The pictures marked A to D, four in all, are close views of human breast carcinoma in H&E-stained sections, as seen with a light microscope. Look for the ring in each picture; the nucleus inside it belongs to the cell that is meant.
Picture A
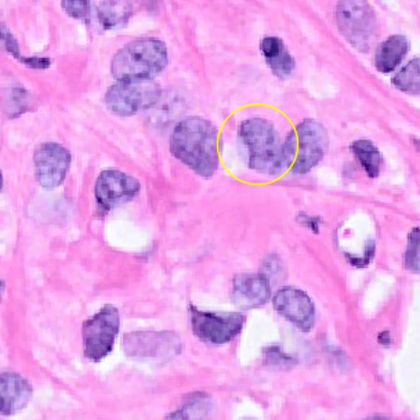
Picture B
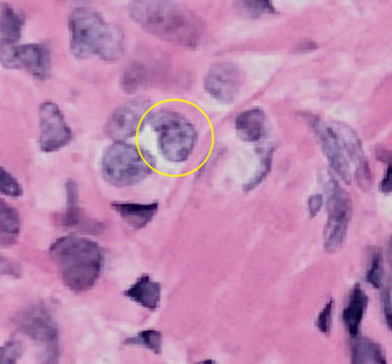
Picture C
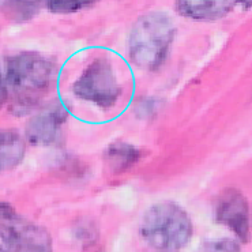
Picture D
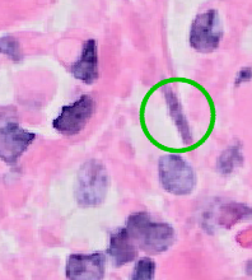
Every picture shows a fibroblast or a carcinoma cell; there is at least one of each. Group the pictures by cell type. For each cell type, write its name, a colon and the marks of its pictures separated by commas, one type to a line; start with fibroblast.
fibroblast: D
carcinoma cell: A, B, C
